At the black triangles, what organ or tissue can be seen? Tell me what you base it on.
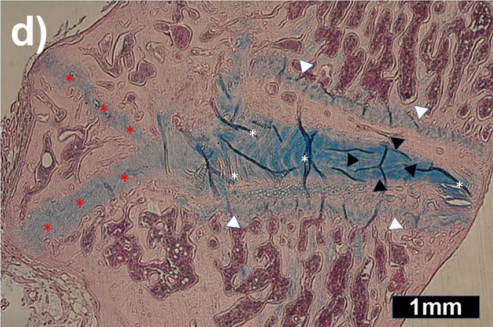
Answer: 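The black triangles cluster in the deep blue centre of the disc toward the right. So: nucleus pulposus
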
